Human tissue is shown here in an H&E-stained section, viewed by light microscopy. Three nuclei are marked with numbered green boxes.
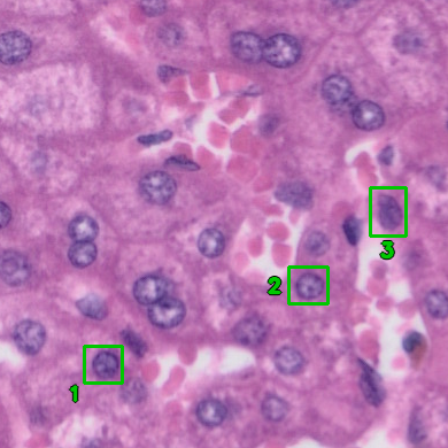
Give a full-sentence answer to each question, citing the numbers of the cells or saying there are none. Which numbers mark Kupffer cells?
Of all the numbered cells, only cell 3 is a Kupffer cell.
